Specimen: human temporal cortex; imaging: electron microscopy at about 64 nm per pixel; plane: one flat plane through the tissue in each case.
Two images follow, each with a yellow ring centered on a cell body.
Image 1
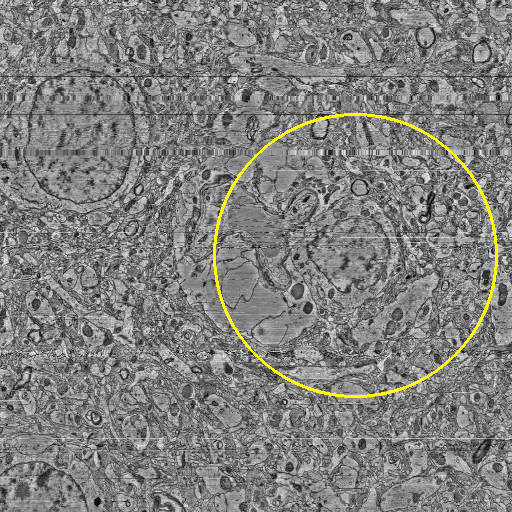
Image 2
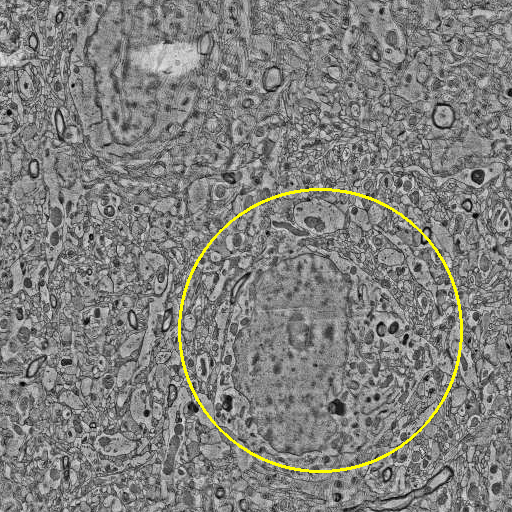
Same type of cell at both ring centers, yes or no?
yes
